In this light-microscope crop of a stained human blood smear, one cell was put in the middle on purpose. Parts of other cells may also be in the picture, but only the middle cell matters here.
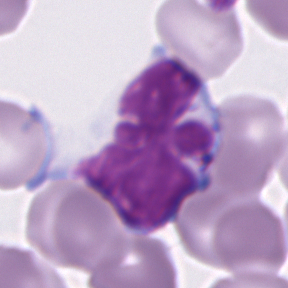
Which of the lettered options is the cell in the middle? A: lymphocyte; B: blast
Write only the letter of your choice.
A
